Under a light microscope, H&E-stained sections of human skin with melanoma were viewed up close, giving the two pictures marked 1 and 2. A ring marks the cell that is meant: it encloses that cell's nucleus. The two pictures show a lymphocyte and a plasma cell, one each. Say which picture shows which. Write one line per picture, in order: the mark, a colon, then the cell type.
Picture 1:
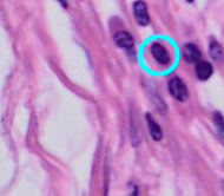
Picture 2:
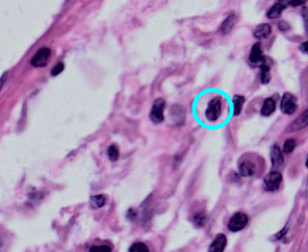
1: plasma cell
2: lymphocyte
